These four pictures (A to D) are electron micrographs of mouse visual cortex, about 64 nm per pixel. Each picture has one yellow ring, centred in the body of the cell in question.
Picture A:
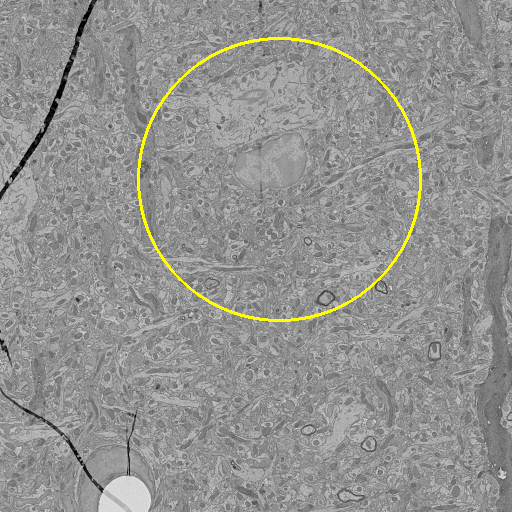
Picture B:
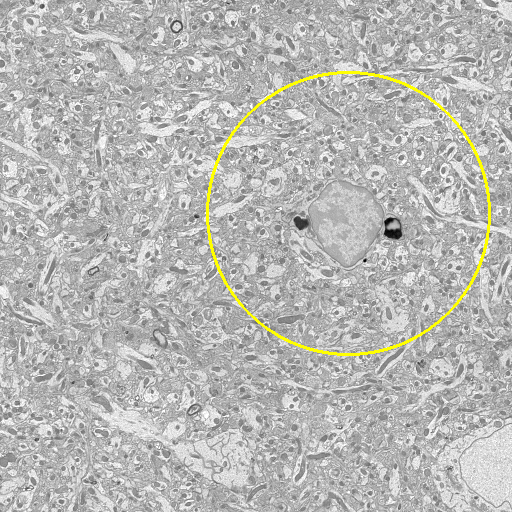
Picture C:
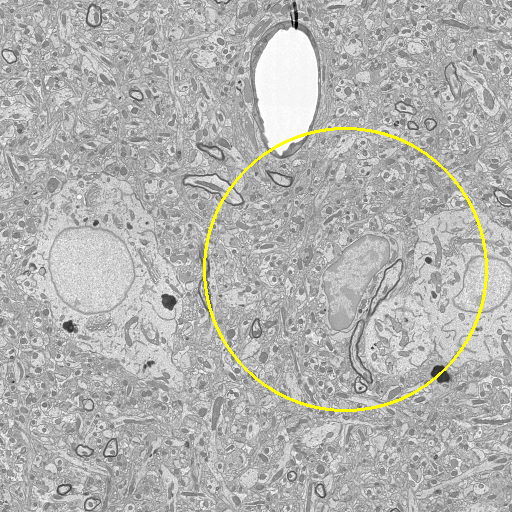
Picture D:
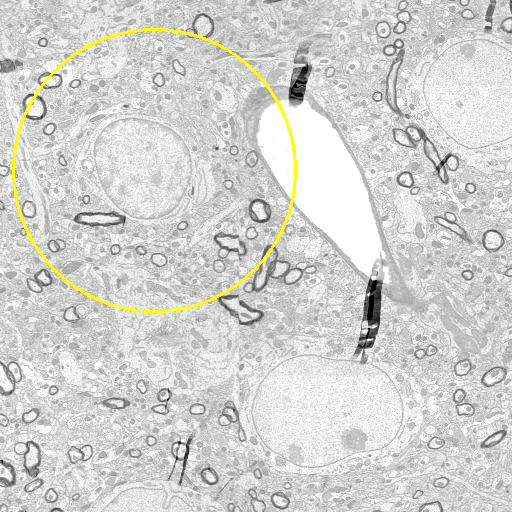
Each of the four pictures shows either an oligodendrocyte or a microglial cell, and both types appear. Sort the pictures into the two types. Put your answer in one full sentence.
Picture D shows an oligodendrocyte, while pictures A, B and C show microglial cells.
